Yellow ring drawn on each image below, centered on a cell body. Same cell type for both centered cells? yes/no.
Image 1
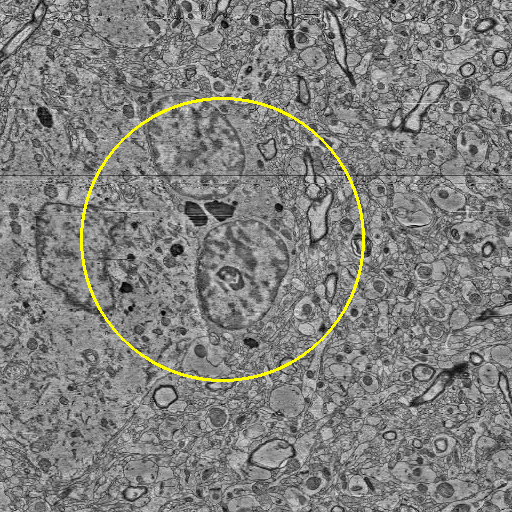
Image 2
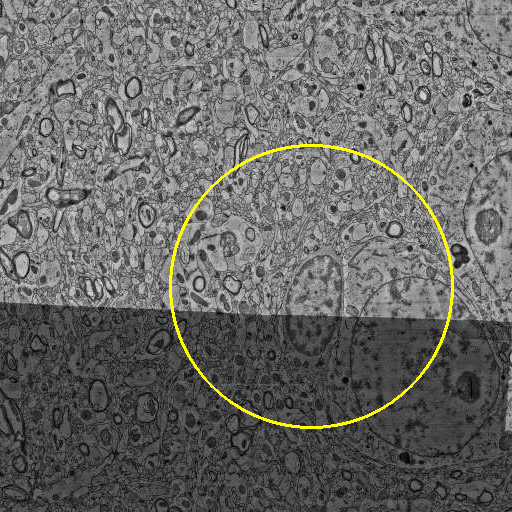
yes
